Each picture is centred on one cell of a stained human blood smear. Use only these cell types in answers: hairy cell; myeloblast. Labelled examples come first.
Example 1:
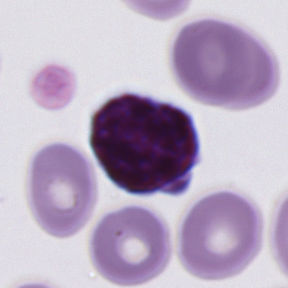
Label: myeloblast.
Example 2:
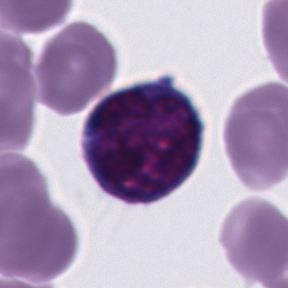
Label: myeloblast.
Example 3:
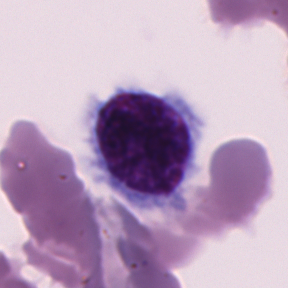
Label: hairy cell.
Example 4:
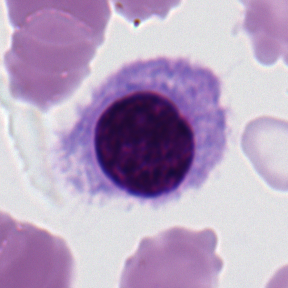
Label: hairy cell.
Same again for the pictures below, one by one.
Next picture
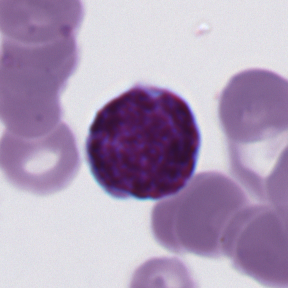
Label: myeloblast.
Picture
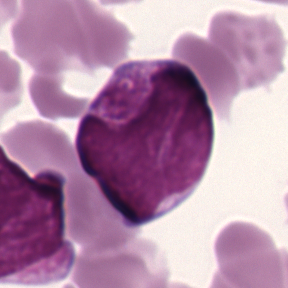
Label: myeloblast.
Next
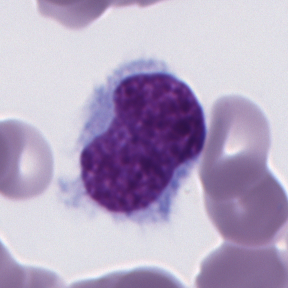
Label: hairy cell.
